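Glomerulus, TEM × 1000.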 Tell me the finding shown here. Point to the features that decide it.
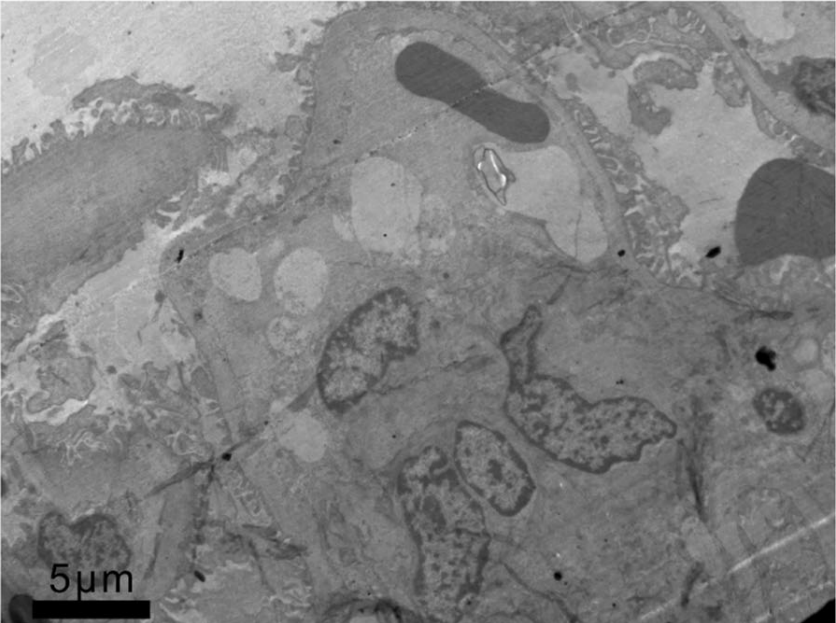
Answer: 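Mesangial cells and matrix hyperplasia. Several irregular nuclei crowd the central region of the image. The nuclei lie in a broad grey matrix between capillary loops. Capillary loops with dark red blood cells lie at the edge of this central region.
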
